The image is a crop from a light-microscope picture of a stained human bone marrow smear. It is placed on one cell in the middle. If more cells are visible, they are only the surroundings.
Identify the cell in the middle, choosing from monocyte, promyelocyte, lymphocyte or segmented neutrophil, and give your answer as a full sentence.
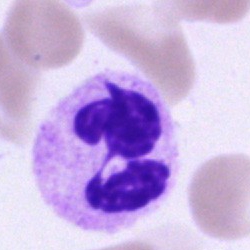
The centered cell in this crop is a segmented neutrophil.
